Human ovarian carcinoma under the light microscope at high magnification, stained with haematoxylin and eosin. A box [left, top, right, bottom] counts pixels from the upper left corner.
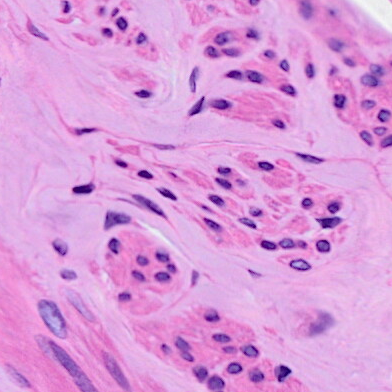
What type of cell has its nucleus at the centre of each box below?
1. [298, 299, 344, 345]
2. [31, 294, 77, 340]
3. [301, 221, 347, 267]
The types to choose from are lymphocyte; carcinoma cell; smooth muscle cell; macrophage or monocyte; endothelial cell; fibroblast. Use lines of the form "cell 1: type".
cell 1: fibroblast
cell 2: smooth muscle cell
cell 3: smooth muscle cell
